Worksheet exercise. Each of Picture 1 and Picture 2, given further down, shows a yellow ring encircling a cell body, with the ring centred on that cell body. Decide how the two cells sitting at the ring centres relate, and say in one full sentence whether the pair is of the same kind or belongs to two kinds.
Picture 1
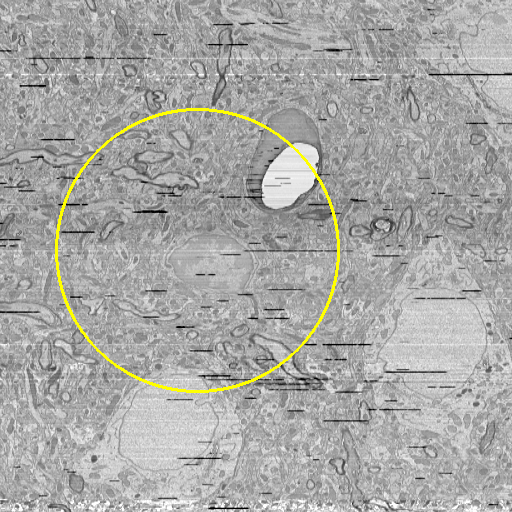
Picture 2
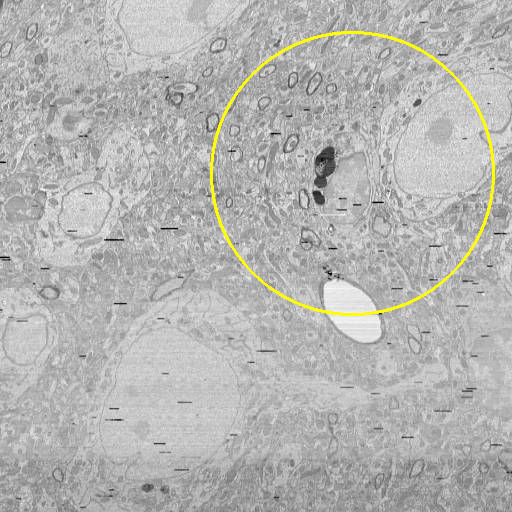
The cells at the ring centres in Picture 1 and Picture 2 are of the same kind.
